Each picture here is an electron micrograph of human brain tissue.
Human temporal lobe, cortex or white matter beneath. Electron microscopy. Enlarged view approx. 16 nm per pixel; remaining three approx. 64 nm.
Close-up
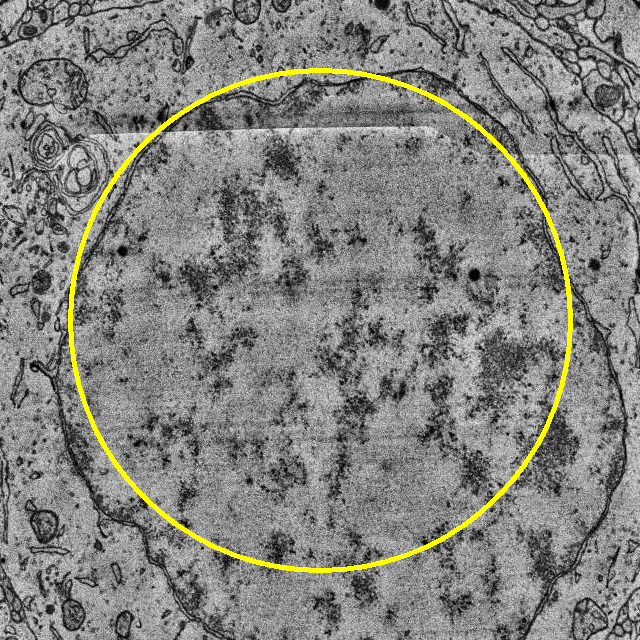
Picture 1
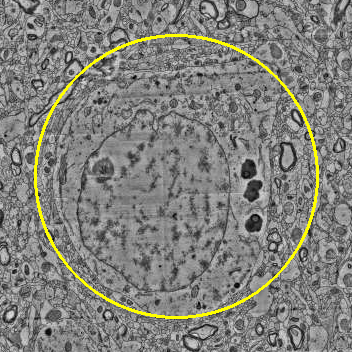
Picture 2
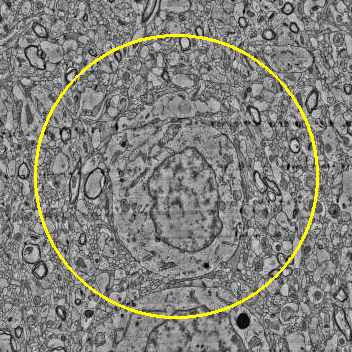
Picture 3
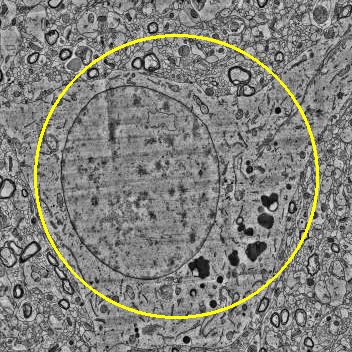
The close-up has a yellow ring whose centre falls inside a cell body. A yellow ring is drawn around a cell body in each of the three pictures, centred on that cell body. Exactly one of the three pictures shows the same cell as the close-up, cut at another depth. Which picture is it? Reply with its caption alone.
Picture 2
